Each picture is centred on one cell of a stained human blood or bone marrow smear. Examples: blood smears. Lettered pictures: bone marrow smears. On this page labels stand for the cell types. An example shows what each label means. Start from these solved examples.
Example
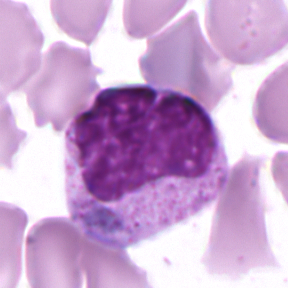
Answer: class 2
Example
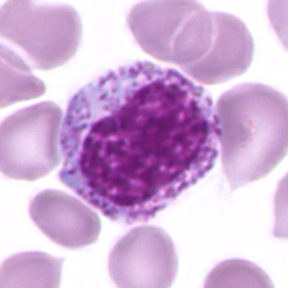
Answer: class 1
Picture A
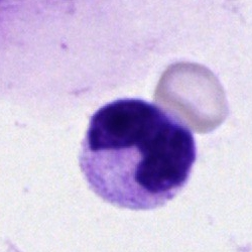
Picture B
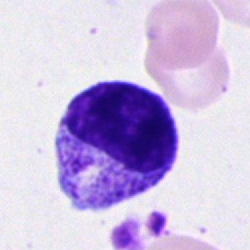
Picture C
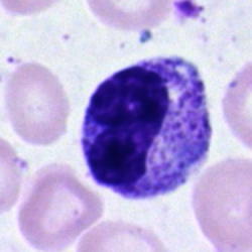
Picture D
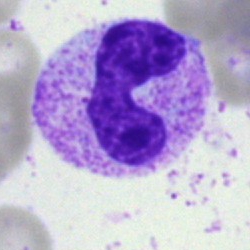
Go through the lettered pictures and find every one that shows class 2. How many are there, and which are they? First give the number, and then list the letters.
2: A, D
